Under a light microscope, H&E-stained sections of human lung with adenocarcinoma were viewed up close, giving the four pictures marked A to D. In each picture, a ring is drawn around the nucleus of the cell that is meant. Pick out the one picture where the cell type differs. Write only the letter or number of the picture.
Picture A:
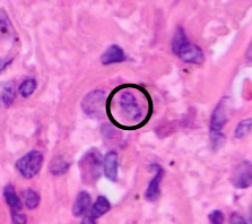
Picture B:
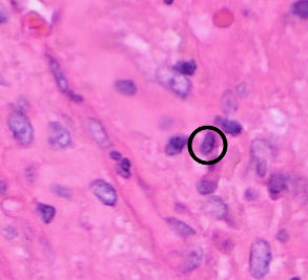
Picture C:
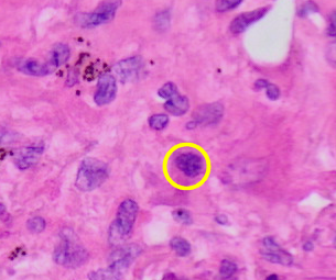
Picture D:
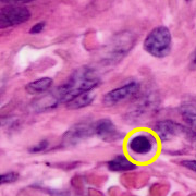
D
